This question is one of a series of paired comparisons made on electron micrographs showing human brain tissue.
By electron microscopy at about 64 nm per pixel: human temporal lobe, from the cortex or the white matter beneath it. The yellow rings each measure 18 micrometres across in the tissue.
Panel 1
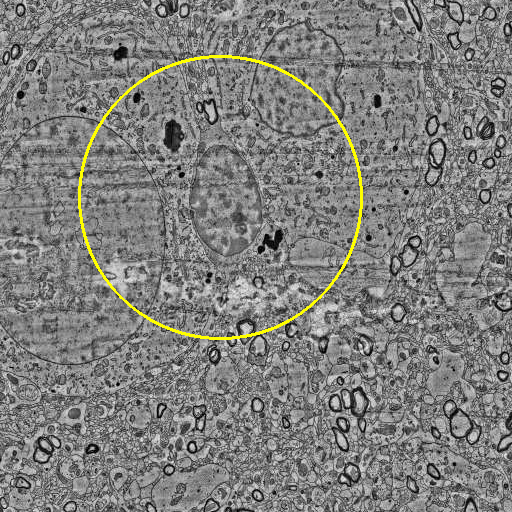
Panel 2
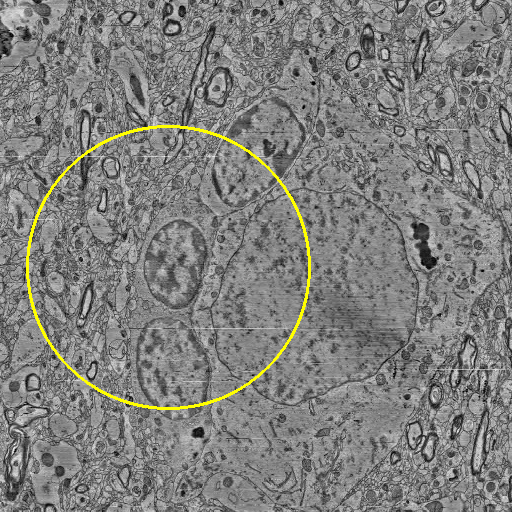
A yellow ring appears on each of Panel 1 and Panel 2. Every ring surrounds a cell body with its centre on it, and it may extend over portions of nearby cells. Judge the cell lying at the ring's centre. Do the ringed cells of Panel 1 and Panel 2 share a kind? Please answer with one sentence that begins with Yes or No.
Yes, the ring-centre cell in Panel 1 and the one in Panel 2 are of one kind.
